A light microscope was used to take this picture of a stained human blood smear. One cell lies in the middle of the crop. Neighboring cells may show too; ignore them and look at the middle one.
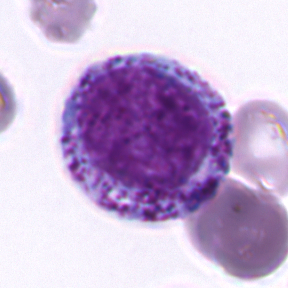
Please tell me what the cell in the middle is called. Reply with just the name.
promyelocyte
